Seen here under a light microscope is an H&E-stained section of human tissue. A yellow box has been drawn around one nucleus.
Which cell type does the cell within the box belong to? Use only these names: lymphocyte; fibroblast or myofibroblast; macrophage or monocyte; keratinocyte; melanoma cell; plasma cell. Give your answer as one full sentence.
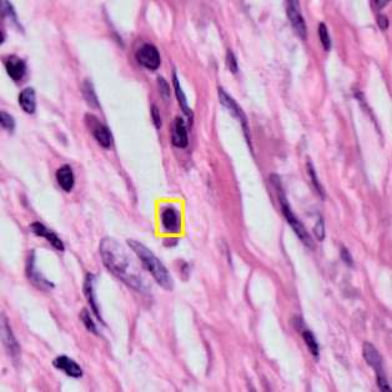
It is a plasma cell that the cell within the box represents.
